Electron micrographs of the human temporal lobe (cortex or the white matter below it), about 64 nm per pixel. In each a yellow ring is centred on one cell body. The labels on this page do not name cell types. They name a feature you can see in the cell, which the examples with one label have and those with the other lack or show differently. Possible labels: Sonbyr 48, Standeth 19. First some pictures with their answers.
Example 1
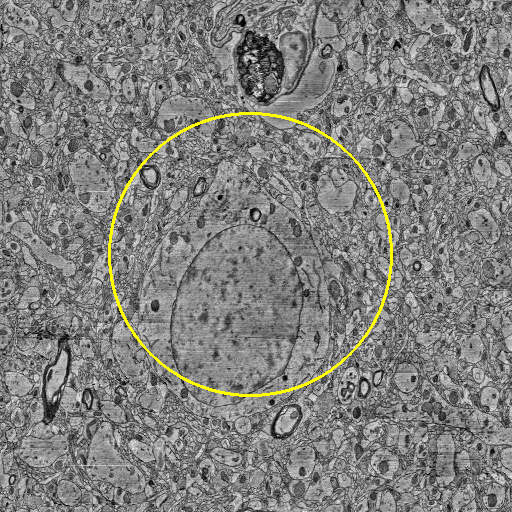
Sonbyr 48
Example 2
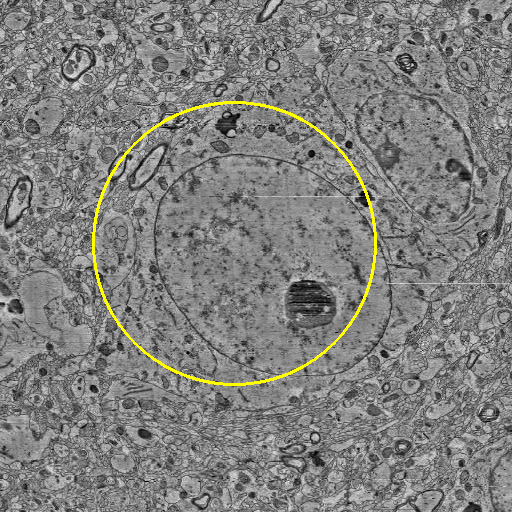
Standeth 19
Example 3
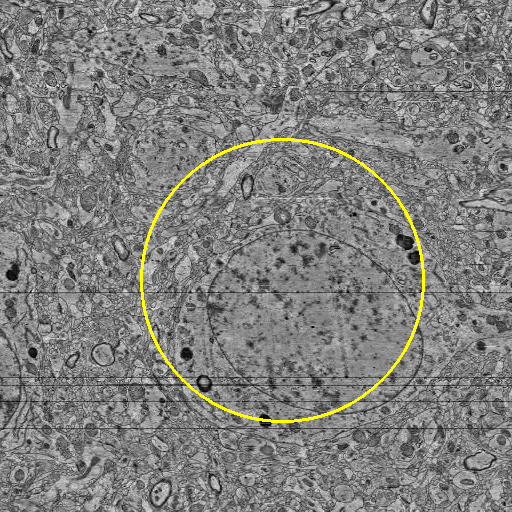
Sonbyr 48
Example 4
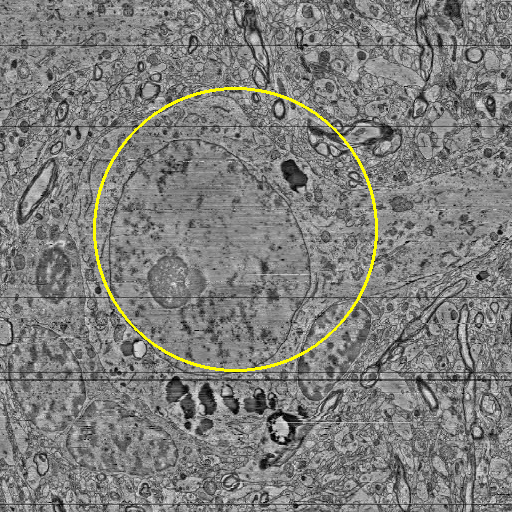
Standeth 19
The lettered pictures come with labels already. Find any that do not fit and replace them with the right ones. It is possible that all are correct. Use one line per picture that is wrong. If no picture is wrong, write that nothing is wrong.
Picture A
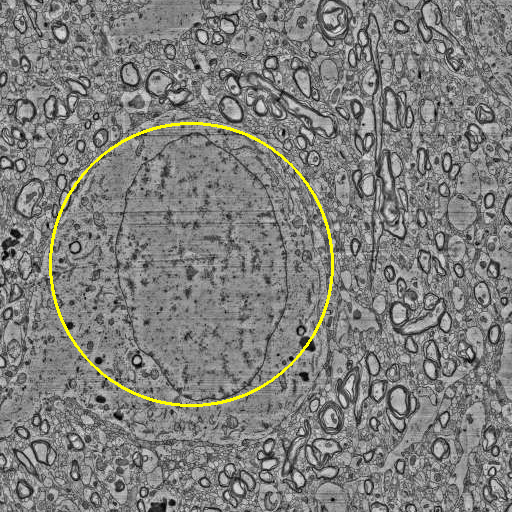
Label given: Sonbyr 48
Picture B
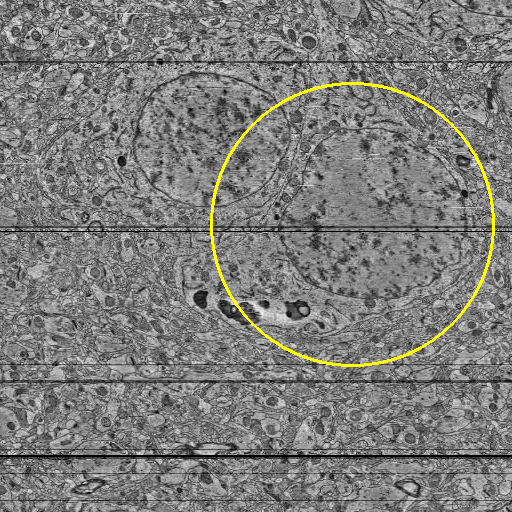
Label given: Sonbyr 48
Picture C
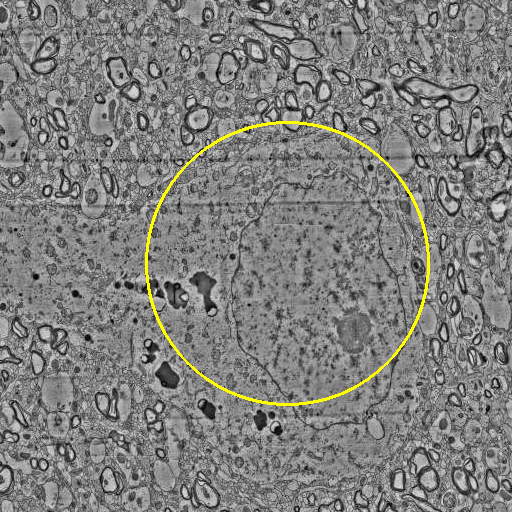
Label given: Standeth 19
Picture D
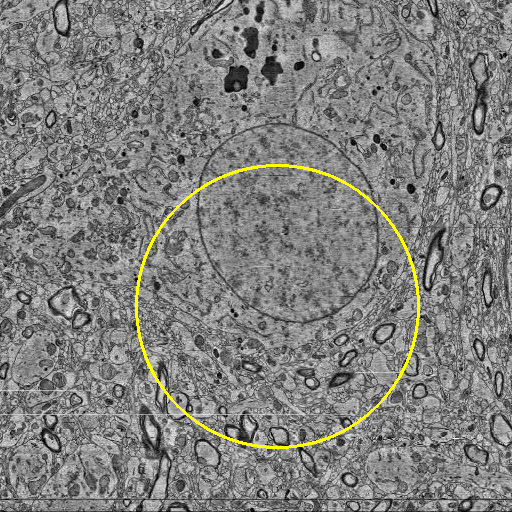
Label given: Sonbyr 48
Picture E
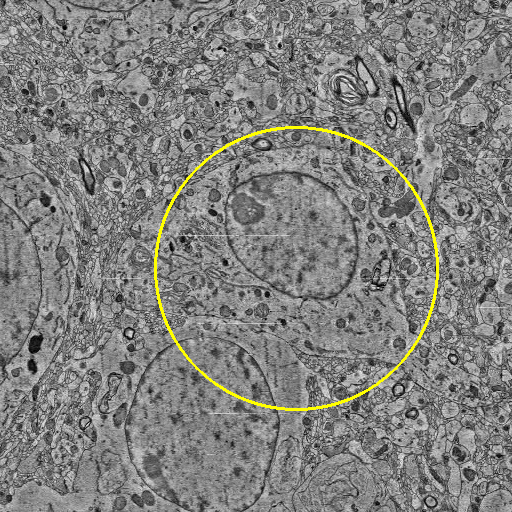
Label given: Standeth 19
All labels are correct.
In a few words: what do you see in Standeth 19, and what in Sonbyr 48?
In Standeth 19: nucleolus seen. In Sonbyr 48: no nucleolus seen.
